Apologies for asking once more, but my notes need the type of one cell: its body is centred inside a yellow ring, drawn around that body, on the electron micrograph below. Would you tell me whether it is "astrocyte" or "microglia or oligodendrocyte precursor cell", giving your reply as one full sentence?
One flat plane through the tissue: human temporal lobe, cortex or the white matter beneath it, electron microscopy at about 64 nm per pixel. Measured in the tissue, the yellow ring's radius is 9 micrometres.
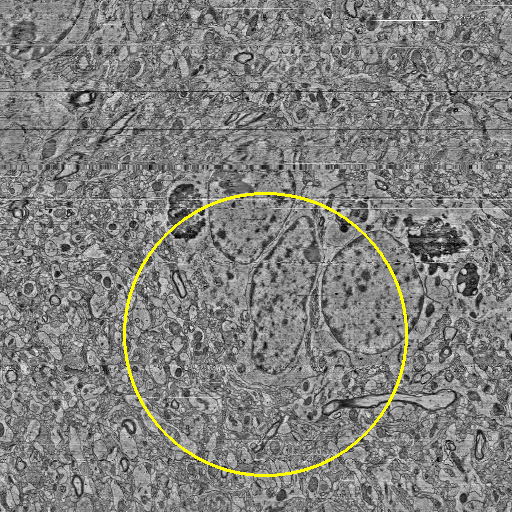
The cell that the yellow ring is centred on is a microglial cell or oligodendrocyte precursor cell in this micrograph.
